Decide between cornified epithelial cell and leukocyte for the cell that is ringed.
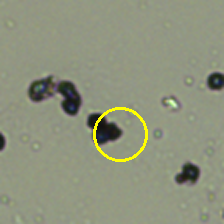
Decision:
I take the ringed cell for a leukocyte.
